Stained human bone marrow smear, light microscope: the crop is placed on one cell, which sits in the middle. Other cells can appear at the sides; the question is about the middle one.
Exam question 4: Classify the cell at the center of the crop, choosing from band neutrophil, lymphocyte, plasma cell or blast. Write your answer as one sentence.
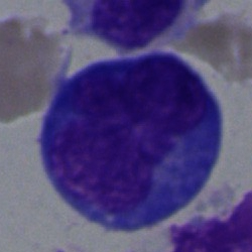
Framed in the middle of the crop is a blast.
